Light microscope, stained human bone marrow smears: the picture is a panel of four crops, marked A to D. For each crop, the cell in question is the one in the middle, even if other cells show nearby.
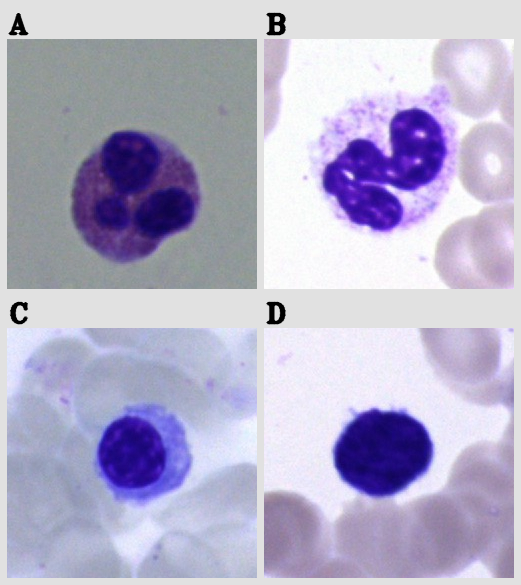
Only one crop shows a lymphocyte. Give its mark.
D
